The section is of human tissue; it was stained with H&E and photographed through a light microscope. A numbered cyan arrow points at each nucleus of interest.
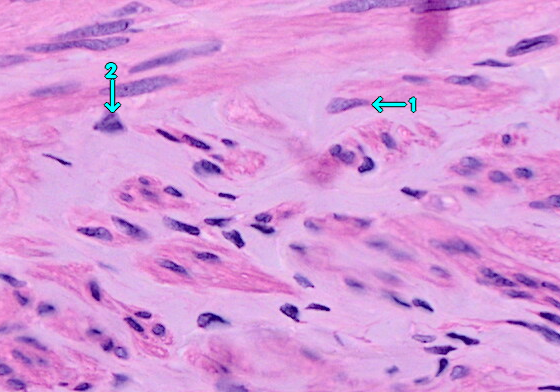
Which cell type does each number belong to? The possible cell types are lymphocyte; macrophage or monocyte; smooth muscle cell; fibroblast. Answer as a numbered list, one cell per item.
1. smooth muscle cell
2. fibroblast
